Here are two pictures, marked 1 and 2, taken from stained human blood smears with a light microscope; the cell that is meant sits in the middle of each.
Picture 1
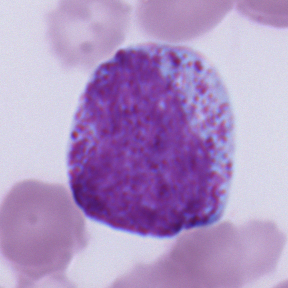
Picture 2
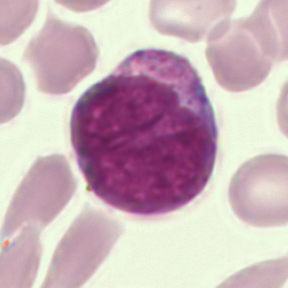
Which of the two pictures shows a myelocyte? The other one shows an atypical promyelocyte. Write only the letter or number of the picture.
1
